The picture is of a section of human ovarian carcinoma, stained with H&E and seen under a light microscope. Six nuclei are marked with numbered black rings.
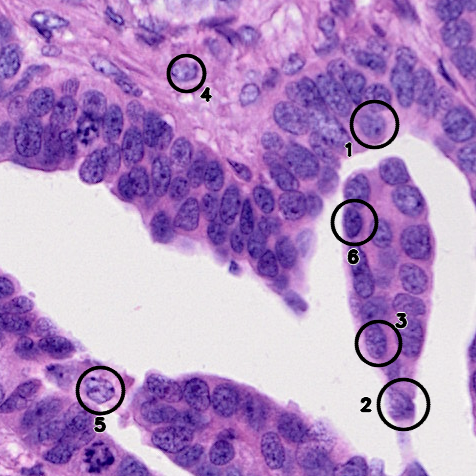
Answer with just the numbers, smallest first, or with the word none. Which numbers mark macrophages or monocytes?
5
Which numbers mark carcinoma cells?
1, 2, 3, 6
